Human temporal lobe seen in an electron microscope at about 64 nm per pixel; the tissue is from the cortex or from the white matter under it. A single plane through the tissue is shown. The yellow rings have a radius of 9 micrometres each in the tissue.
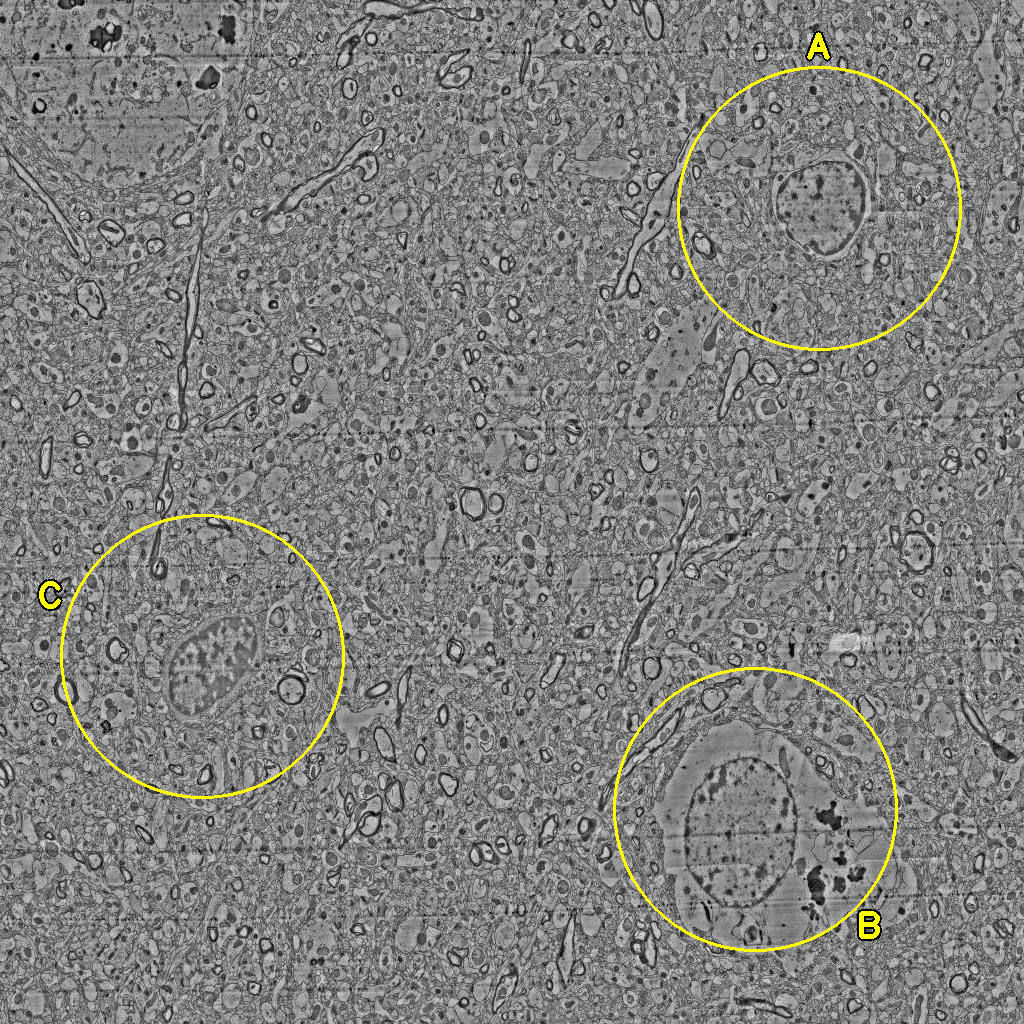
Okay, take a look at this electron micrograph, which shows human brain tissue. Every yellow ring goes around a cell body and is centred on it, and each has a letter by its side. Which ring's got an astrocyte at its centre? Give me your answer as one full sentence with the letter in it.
The one you're after is ring B, centred on the cell you asked about.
